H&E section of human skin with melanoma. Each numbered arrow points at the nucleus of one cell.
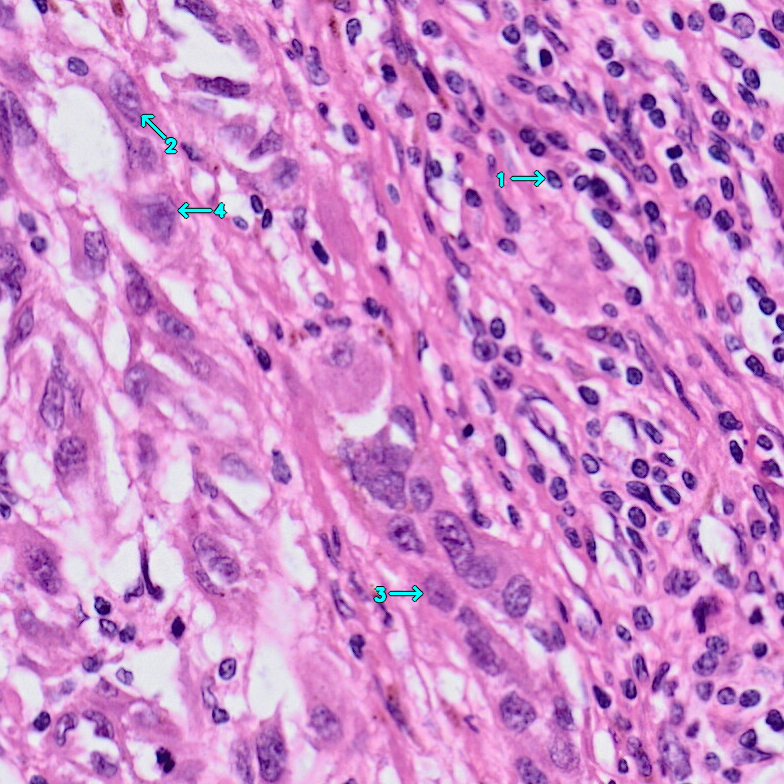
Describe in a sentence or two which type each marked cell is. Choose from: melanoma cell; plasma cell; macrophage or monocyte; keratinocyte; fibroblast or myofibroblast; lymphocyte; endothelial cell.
Cell 1 is a lymphocyte. Cells 2, 3 and 4 are melanoma cells.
